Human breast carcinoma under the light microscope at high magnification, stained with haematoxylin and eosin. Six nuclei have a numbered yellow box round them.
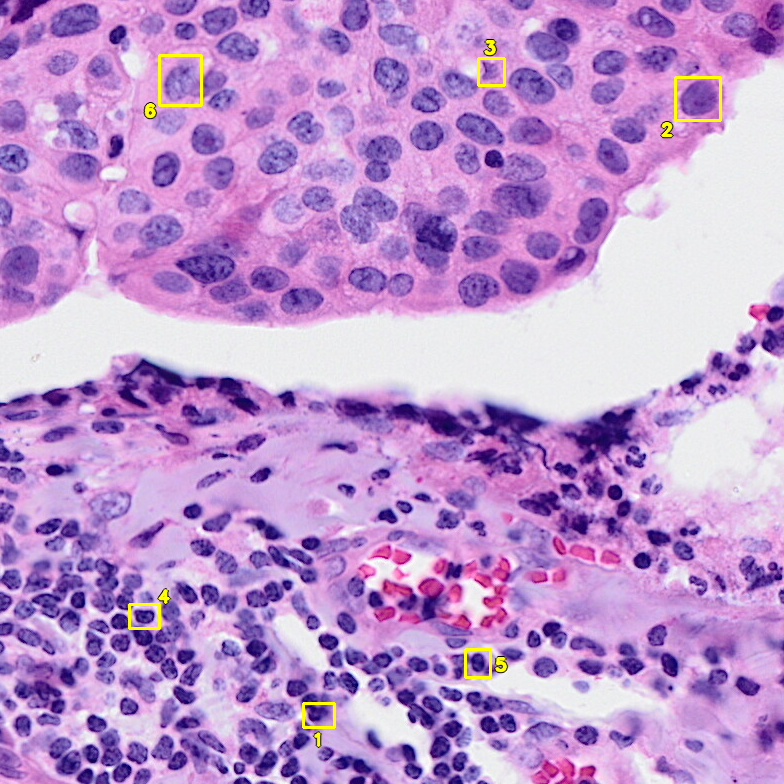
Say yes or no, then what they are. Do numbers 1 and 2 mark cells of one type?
No, cell 1 counts as a lymphocyte, and cell 2 counts as a carcinoma cell.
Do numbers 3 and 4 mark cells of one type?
No, a lymphocyte is what cell 4 is, while cell 3 is a carcinoma cell.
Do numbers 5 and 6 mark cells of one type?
No, the cell numbered 5 is a lymphocyte and the cell numbered 6 is a carcinoma cell.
